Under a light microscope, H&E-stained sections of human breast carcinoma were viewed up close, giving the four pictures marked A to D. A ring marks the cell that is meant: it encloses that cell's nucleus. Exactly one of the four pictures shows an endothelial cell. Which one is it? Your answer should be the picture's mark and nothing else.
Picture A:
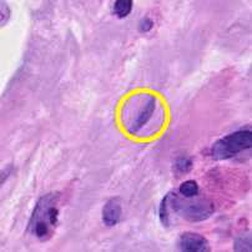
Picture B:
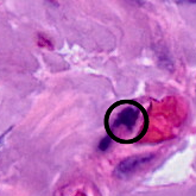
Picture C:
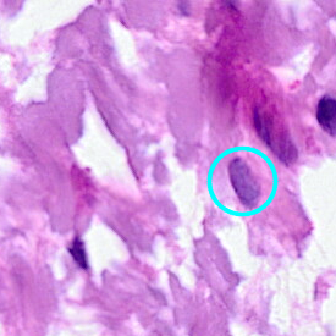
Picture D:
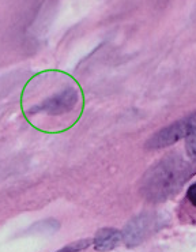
B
